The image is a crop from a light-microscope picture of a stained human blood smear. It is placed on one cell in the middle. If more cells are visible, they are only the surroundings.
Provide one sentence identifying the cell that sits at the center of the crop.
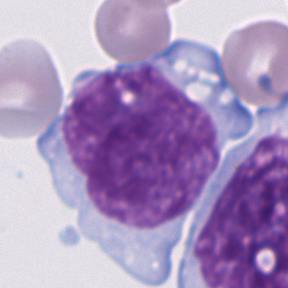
Standing at the centre of this crop is a myeloblast.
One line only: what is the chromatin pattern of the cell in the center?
In this cell the chromatin is fine rather than coarsely clumped.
